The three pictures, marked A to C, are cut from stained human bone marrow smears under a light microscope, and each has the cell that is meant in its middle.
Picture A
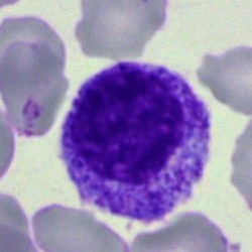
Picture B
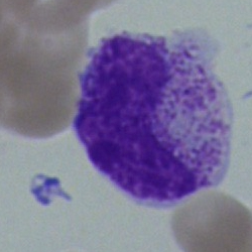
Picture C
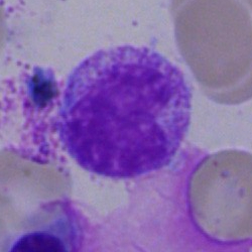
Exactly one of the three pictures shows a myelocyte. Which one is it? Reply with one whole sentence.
The myelocyte is the one in picture A.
